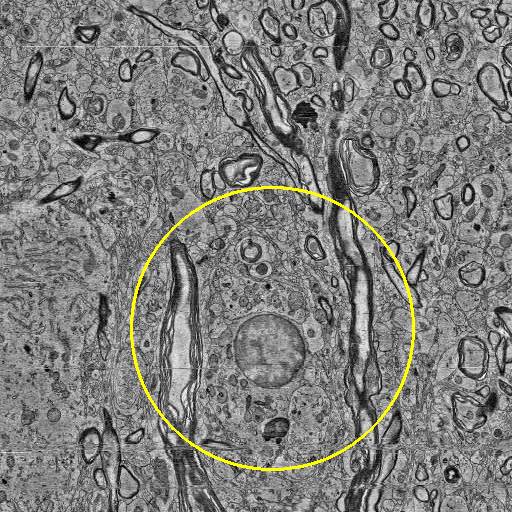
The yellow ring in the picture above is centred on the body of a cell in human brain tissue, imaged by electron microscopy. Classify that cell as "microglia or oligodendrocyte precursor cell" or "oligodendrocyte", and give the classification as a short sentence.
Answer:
The cell in the middle of the ring is an oligodendrocyte.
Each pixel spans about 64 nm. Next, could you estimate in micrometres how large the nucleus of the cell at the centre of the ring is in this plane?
Approximately 5 micrometres across, in this plane.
